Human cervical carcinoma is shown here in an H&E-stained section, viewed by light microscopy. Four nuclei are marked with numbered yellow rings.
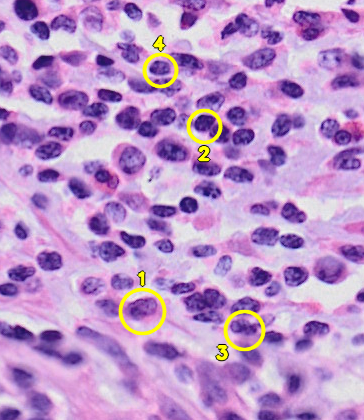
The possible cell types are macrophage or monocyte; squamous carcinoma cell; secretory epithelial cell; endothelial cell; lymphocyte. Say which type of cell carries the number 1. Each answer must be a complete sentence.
The cell identified by number 1 is a macrophage or monocyte.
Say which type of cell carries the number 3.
The cell given label 3 is a lymphocyte.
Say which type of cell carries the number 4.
Looking at the numbered marks, cell 4 is a lymphocyte.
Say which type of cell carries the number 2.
Identified as a lymphocyte is the cell bearing the number 2.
